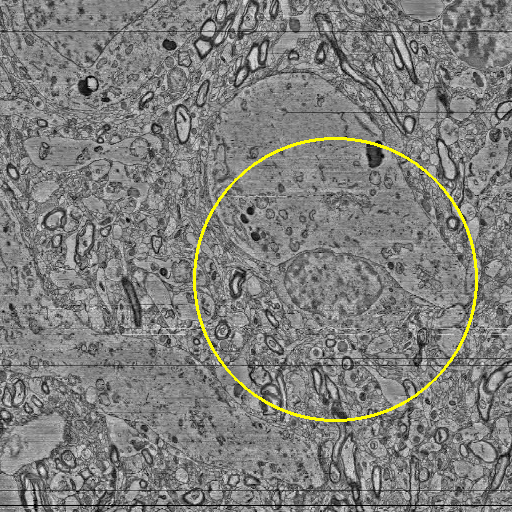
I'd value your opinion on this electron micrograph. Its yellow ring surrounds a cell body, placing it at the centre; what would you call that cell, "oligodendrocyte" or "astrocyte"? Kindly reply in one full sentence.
It is an oligodendrocyte that sits centred within the yellow ring in this micrograph.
